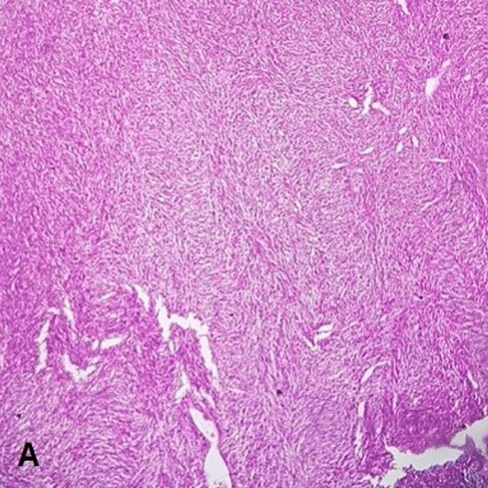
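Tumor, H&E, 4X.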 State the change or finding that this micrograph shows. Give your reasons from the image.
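The whole field is densely packed with purple-staining cells with little intervening stroma. The answer: hypercellularity.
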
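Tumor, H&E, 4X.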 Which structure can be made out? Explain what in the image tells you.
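Fascicles of spindle cells run in different directions and meet at angles. The tissue is densely cellular with streaming bundles. On this evidence: herringbone pattern.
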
